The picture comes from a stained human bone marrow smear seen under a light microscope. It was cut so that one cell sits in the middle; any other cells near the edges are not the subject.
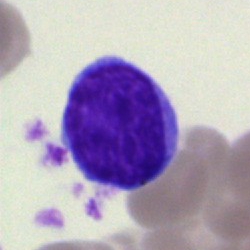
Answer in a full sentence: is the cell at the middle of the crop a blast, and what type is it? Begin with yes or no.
No, the central cell is properly termed a lymphocyte, not a blast.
